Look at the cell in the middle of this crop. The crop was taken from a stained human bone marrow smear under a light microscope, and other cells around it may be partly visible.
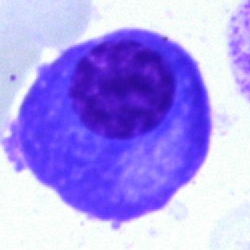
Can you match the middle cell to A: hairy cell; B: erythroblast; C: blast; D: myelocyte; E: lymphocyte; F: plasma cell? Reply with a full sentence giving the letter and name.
Option F is the correct selection, for the cell at the centre is a plasma cell.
